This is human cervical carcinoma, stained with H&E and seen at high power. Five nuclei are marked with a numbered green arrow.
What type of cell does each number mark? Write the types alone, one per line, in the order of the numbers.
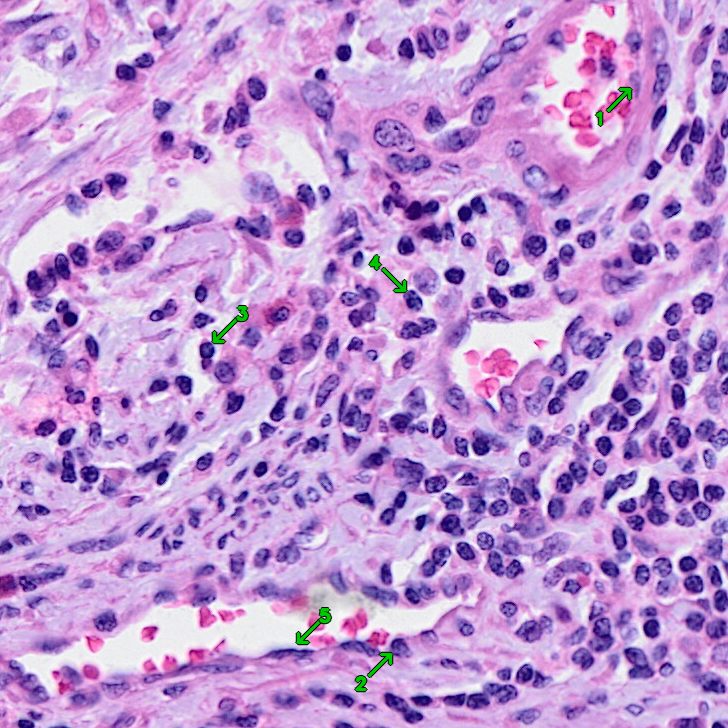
endothelial cell
endothelial cell
lymphocyte
lymphocyte
endothelial cell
